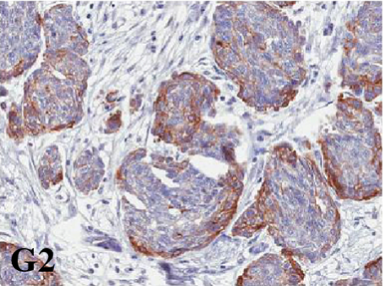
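Several rounded nests of crowded epithelial tumor cells lie in a loose stroma of elongated spindle cells. The nest cells carry blue oval nuclei and light brown cytoplasm, with darker brown stain along the outer edges of the nests where they meet the stroma. The stroma between the nests is mostly blue with only scattered brownish cells. These are tumor cell nests in stroma, stained most strongly at their stromal border.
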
